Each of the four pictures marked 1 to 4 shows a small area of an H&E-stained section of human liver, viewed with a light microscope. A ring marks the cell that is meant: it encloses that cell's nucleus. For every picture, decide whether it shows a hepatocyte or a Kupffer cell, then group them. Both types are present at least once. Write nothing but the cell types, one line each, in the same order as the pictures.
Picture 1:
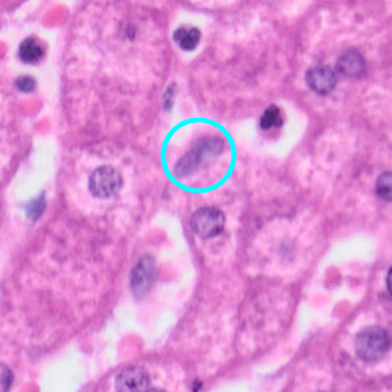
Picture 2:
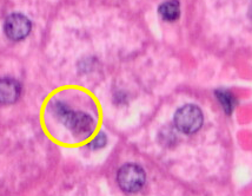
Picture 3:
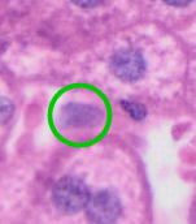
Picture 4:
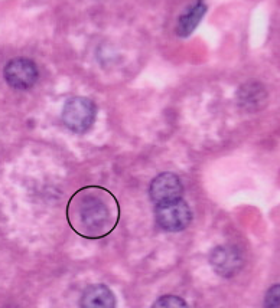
Kupffer cell
Kupffer cell
Kupffer cell
hepatocyte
